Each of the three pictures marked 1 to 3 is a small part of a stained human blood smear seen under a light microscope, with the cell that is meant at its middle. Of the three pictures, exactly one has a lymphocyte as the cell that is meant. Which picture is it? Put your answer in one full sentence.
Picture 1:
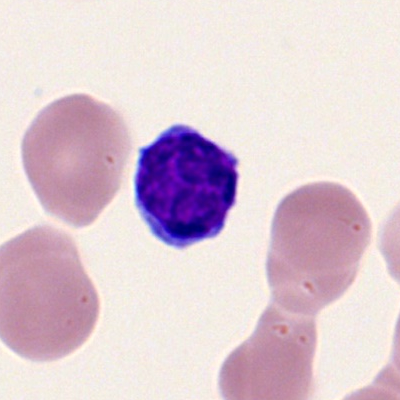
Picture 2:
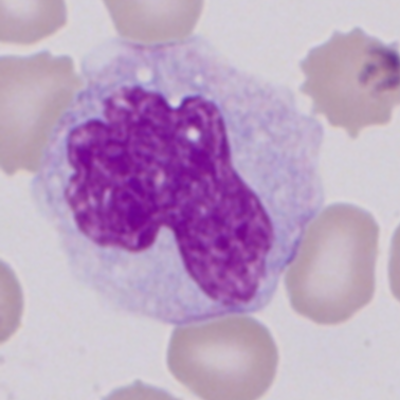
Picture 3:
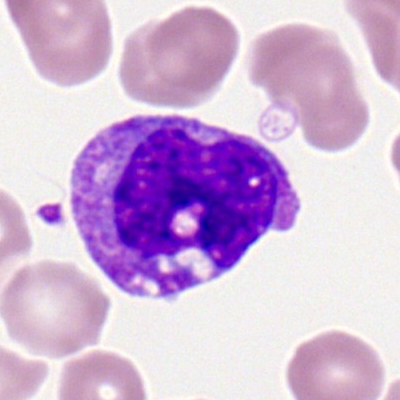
The cell in picture 1 is the lymphocyte.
